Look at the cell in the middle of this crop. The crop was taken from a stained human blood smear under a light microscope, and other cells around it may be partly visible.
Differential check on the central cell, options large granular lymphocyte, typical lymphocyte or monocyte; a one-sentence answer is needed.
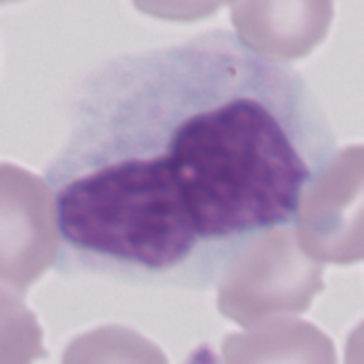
In short, the cell at the center is a monocyte.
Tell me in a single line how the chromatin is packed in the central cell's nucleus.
Answer: the chromatin is fine and has no coarse clumps.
